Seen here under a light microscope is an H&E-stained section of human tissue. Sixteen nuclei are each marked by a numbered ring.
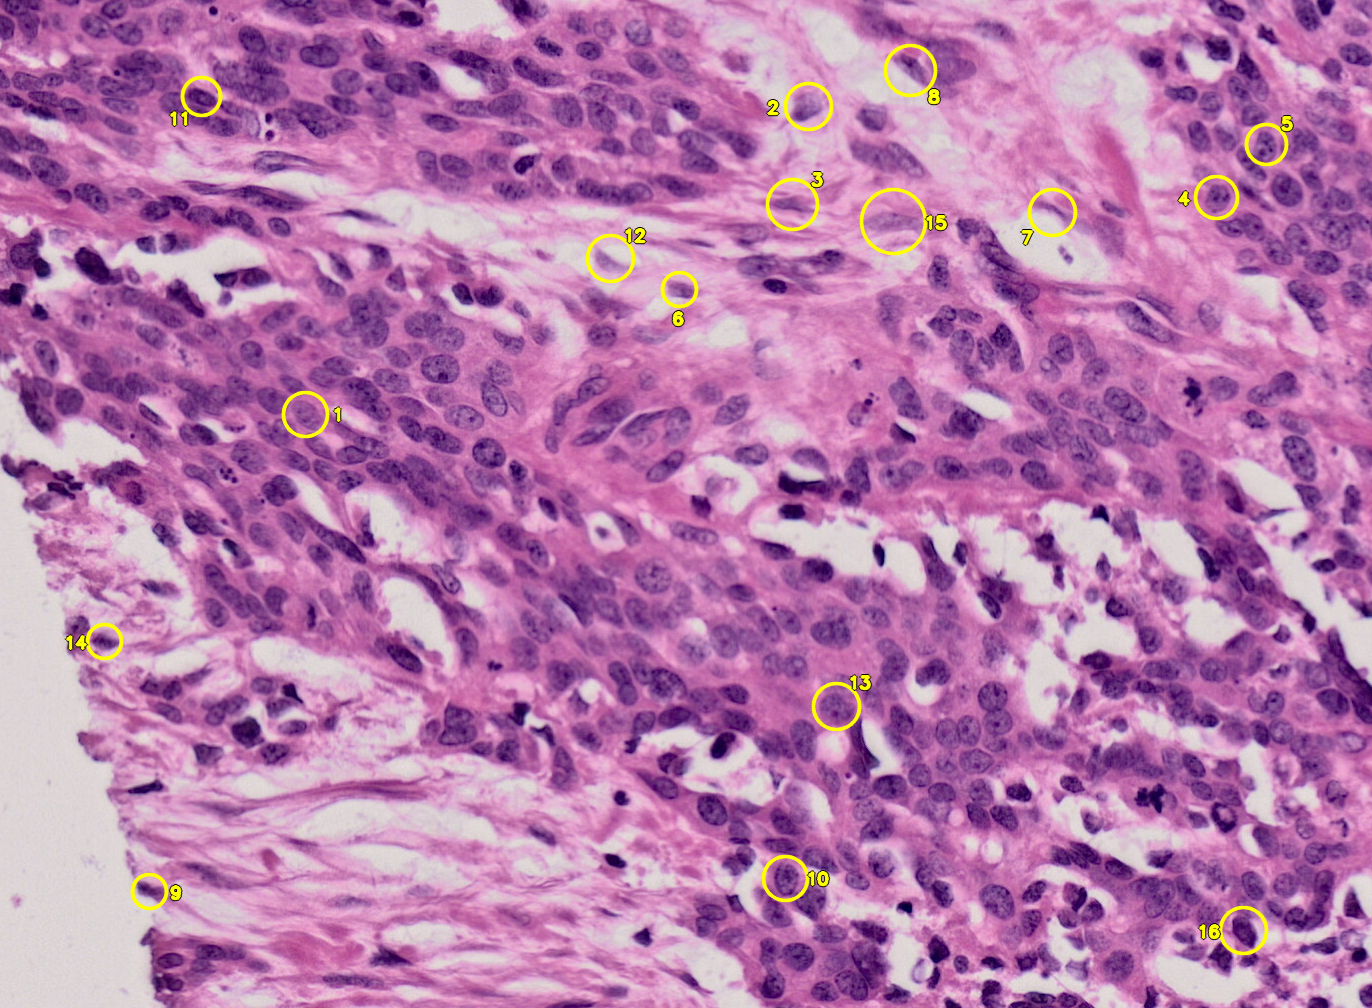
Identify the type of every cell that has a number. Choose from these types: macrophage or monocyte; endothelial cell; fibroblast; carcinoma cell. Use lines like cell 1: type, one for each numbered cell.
cell 1: carcinoma cell
cell 2: fibroblast
cell 3: fibroblast
cell 4: macrophage or monocyte
cell 5: macrophage or monocyte
cell 6: fibroblast
cell 7: fibroblast
cell 8: fibroblast
cell 9: fibroblast
cell 10: carcinoma cell
cell 11: carcinoma cell
cell 12: fibroblast
cell 13: carcinoma cell
cell 14: fibroblast
cell 15: fibroblast
cell 16: carcinoma cell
